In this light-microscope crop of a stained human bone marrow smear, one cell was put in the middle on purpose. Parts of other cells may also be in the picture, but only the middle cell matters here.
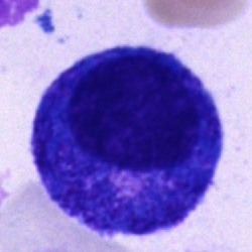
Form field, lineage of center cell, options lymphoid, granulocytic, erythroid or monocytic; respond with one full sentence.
The cell in the middle belongs to the granulocytic lineage.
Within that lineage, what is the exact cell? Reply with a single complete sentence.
The cell the crop is centered on is a promyelocyte.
